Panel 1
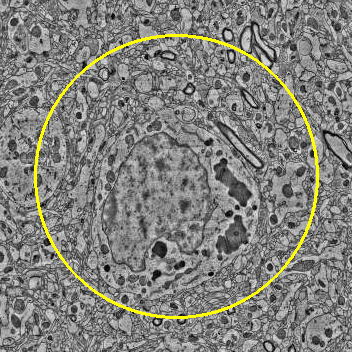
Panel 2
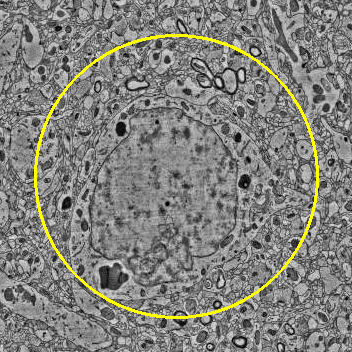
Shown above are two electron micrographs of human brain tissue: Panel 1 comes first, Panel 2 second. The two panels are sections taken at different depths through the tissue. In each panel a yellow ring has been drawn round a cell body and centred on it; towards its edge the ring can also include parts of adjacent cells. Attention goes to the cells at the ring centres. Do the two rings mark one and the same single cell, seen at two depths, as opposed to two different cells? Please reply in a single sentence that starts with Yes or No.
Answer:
Yes, the cell marked in each ring is one and the same.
